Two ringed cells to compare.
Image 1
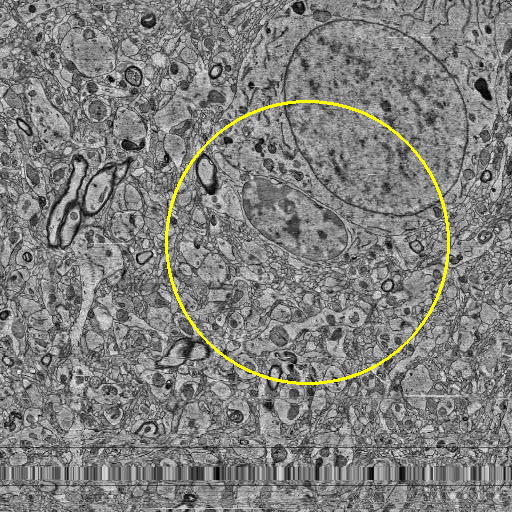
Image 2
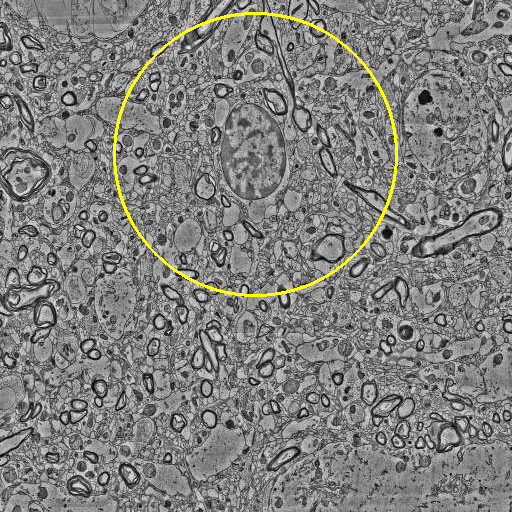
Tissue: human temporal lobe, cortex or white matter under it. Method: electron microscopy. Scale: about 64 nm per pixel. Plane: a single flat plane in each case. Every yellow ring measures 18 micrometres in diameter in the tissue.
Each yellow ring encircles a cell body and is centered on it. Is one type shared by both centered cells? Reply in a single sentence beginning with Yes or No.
Yes, a single type is shared by the two cells at the centers of the rings.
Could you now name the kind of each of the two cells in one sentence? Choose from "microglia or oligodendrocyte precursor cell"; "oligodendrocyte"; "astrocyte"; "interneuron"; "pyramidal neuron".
Each of the two rings surrounds a microglial cell or oligodendrocyte precursor cell.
